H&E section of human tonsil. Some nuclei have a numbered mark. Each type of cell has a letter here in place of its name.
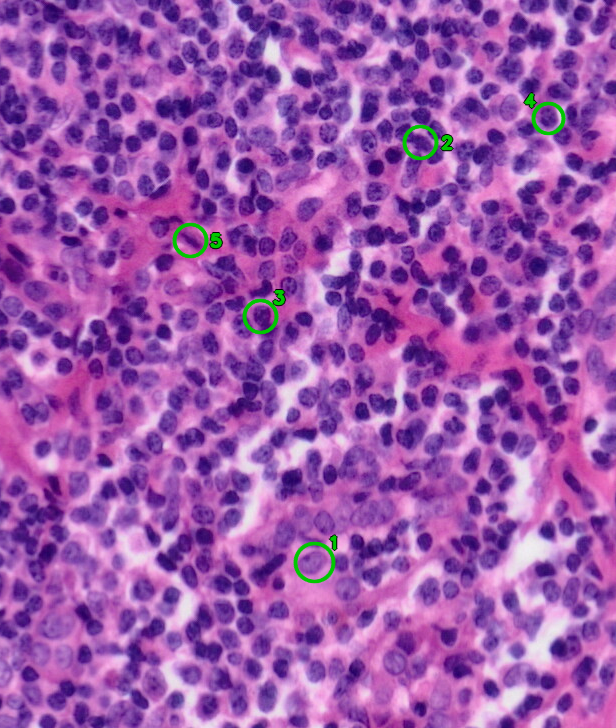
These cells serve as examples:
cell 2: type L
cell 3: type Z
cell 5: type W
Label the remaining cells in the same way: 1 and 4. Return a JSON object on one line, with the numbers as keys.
{"1": "type W", "4": "type Z"}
